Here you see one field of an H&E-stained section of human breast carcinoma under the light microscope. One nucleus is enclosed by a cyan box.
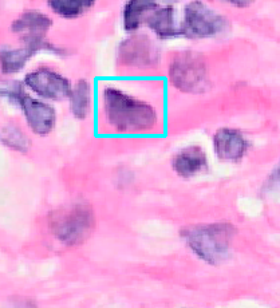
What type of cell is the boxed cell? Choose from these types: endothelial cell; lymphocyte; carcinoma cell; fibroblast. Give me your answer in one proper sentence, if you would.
At the level of cell identity, the boxed cell is a carcinoma cell.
